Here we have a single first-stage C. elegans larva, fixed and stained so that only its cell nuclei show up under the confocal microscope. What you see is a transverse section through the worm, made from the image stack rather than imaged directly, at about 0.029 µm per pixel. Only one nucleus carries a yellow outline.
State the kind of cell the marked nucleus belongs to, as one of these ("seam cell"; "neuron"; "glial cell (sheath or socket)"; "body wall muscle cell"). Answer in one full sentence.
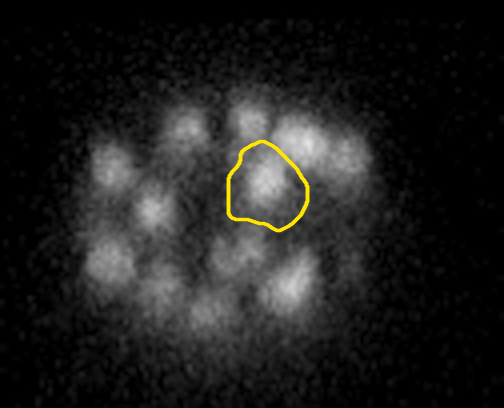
This is the nucleus of a neuron.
